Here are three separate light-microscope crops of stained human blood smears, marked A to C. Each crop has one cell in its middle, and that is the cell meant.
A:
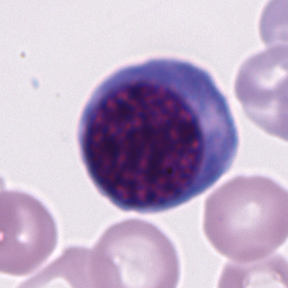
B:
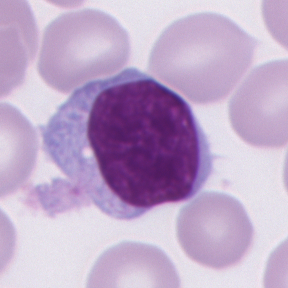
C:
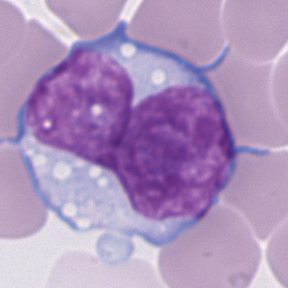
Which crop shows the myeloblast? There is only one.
C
